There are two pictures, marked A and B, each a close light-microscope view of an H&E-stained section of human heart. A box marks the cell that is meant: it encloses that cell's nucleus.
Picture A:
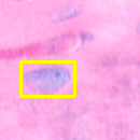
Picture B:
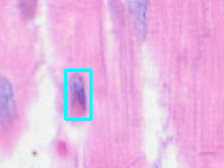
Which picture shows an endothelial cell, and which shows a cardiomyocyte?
A: cardiomyocyte
B: endothelial cell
